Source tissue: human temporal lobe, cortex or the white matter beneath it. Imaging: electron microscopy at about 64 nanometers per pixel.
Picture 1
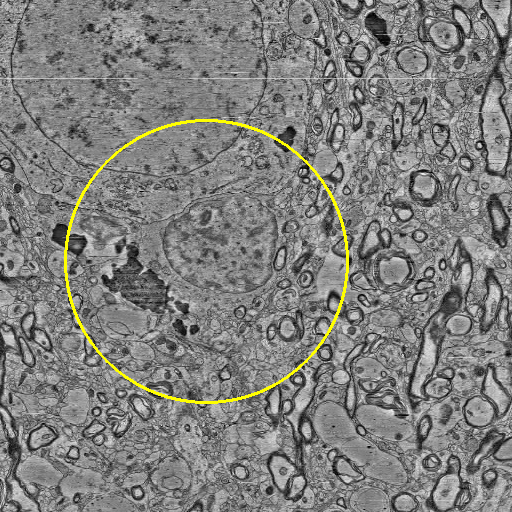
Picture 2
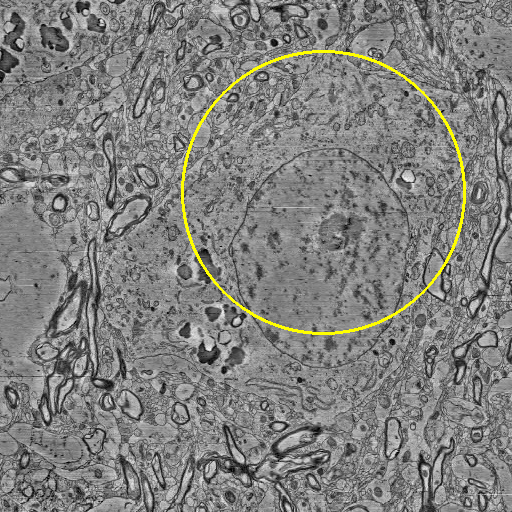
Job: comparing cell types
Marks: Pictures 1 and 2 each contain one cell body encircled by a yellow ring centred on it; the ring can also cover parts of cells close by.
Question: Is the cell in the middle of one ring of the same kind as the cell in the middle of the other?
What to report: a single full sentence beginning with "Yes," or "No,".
No, the cell at the ring centre in Picture 1 and its partner in Picture 2 are of two kinds.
